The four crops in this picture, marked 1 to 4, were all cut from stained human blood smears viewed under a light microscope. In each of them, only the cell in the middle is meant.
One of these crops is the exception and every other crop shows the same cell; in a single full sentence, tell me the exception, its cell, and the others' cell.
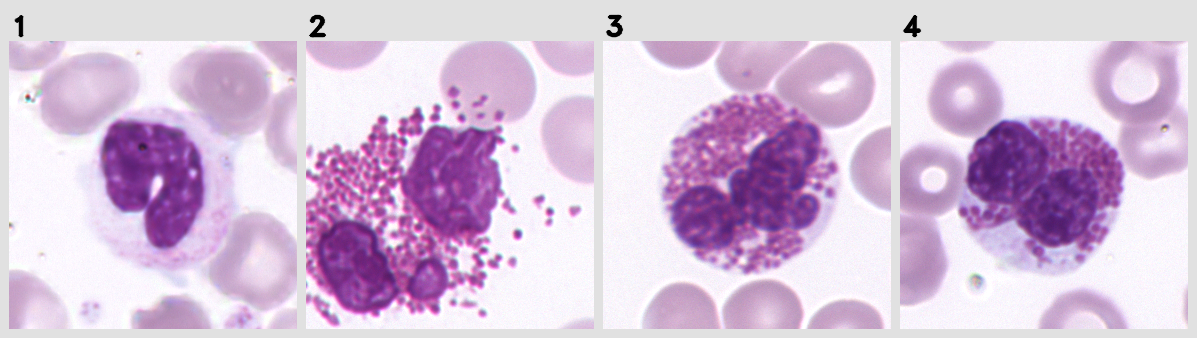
All the crops show eosinophils, barring crop 1, which is a band neutrophil.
